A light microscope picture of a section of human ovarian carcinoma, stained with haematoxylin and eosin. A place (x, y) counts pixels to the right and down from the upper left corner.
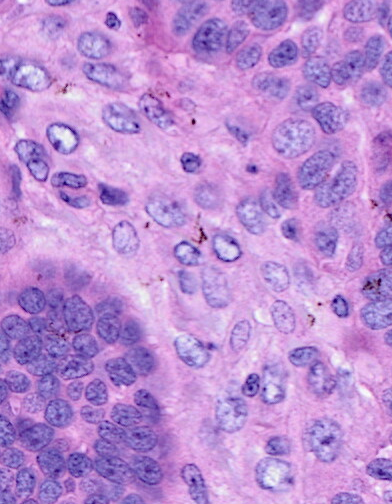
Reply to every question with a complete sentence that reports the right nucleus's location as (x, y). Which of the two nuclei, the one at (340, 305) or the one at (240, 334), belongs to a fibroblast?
Of the two candidate nuclei, the one at (240, 334) is that of a fibroblast.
